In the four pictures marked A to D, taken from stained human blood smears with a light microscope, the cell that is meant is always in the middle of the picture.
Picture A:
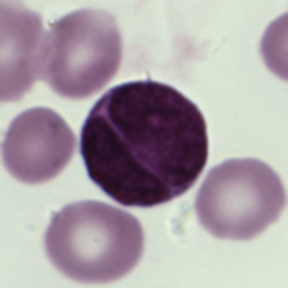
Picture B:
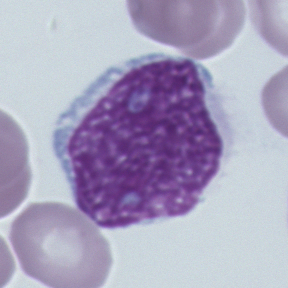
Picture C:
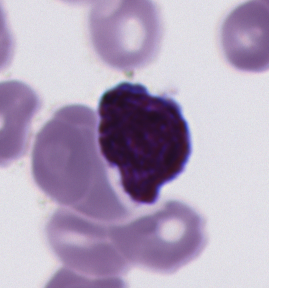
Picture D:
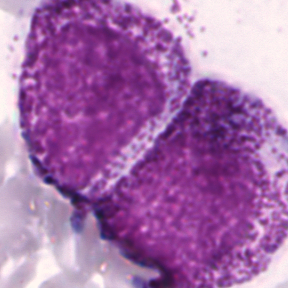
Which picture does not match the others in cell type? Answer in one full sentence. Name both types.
The different one is picture D; it shows a promyelocyte, whereas all the others show myeloblasts.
